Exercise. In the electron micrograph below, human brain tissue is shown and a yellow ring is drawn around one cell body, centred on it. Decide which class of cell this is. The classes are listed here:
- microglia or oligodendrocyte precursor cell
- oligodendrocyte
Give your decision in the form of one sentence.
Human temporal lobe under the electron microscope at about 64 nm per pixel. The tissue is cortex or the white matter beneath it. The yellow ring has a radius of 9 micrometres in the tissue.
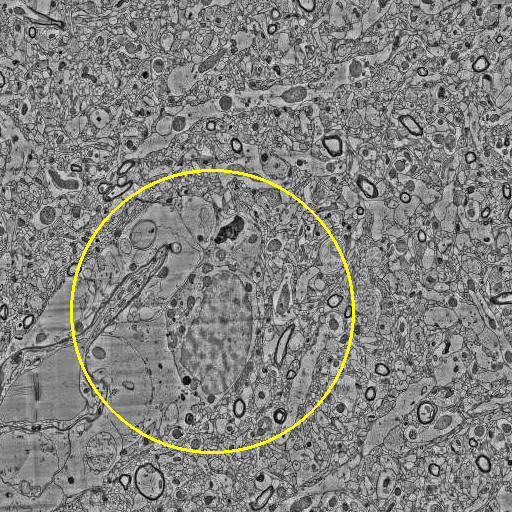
The cell body marked by the ring belongs to an oligodendrocyte.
